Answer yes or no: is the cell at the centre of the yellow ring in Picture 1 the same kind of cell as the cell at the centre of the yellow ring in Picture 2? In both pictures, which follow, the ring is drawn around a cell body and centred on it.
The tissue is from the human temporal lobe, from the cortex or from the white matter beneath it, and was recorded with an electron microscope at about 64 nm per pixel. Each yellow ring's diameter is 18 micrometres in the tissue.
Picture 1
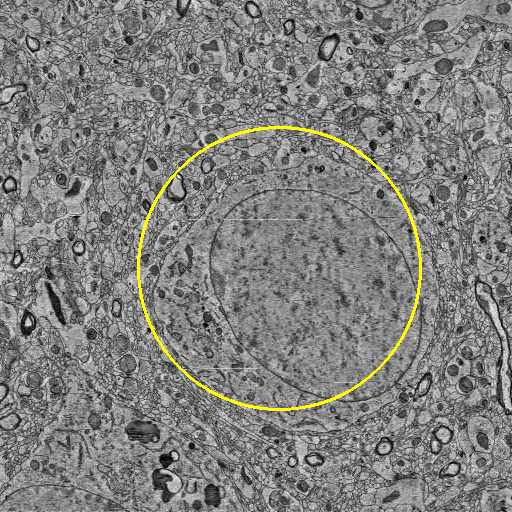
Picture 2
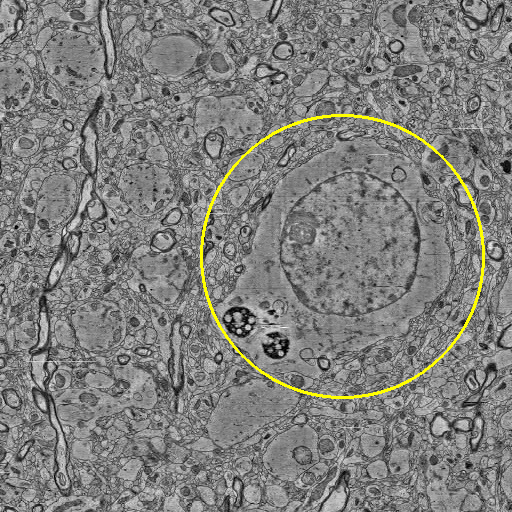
no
